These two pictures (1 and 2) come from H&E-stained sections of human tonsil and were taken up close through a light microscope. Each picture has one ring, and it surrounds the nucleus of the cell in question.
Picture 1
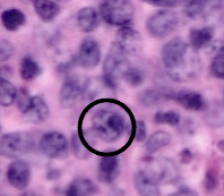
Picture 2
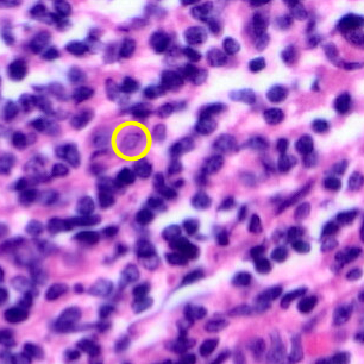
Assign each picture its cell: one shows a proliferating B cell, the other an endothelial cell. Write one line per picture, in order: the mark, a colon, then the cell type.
1: proliferating B cell
2: endothelial cell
